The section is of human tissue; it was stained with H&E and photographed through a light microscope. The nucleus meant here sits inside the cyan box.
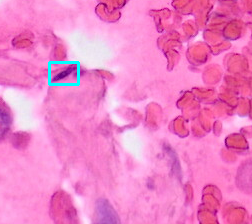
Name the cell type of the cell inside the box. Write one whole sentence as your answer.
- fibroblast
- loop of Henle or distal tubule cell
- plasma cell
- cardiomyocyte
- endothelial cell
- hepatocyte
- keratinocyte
Cell type answer for this item: the cell inside the box is an endothelial cell.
